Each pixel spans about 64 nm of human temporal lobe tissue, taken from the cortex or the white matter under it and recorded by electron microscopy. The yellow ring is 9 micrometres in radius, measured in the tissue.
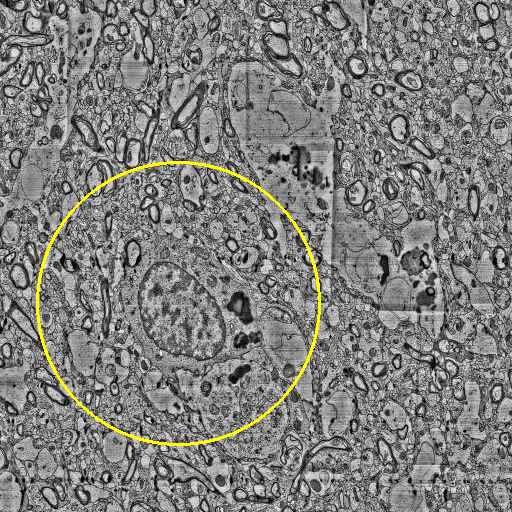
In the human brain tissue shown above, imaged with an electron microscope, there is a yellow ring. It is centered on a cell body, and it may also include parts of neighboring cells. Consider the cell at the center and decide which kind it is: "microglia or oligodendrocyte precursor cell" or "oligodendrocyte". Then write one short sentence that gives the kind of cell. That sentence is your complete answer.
This centered cell body is that of an oligodendrocyte.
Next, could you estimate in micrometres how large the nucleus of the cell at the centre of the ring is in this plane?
Roughly 7 by 5 micrometres is the size of the nucleus in this plane.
